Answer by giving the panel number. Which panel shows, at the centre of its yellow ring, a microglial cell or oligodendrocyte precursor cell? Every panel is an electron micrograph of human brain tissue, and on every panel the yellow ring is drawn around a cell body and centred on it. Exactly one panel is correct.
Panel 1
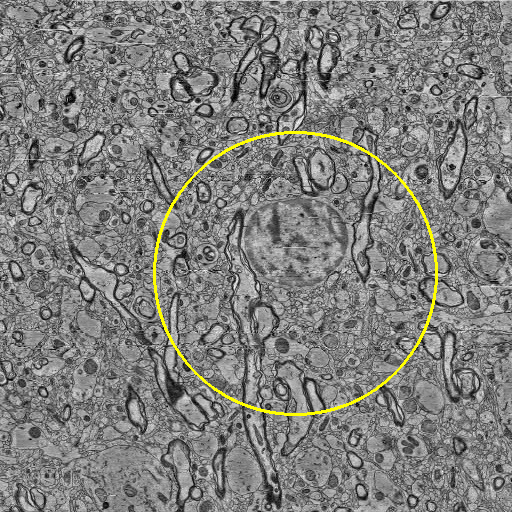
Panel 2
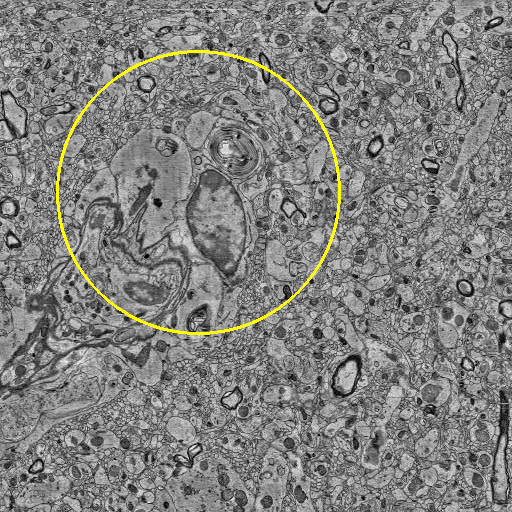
2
